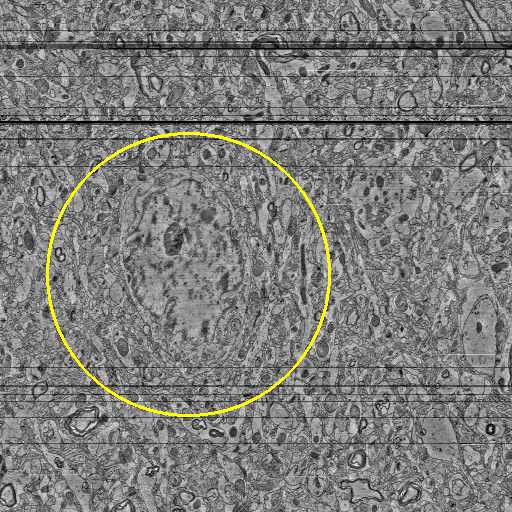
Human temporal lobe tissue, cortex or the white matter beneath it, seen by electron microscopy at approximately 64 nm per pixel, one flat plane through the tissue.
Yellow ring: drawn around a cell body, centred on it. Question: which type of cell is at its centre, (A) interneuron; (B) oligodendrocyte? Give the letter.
A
